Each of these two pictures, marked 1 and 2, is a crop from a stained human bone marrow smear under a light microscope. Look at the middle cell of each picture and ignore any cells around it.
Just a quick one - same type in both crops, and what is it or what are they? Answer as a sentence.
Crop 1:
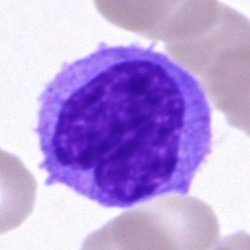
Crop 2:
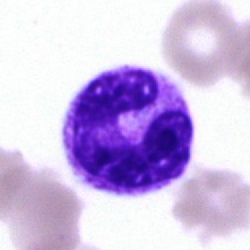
No; crop 1 is a monocyte, while crop 2 is a band neutrophil.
